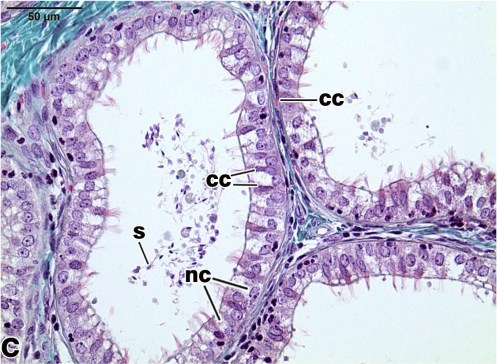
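This is the lining of an efferent duct, a columnar epithelium made of ciliated and non-ciliated cells around a wide lumen. The ciliated cells carry pale purple tufts of cilia that project into the lumen, while their neighbours lack such tufts and have a flatter apical surface. Nuclei are oval and lie at varying heights, and some darker, elongated nuclei sit near the base. Loose spermatozoa float in the lumen, and thin blue-green connective tissue surrounds each duct.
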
